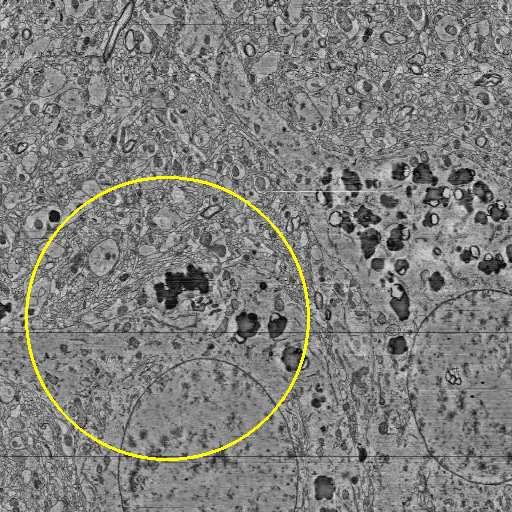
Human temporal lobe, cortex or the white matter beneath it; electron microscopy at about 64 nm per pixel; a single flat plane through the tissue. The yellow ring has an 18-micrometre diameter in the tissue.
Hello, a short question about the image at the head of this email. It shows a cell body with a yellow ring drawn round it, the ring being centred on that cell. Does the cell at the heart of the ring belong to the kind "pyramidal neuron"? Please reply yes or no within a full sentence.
No, the cell at the heart of the ring in that image is of a different kind.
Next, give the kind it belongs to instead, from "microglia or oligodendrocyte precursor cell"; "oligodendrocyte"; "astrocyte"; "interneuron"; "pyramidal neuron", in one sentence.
Instead, the picture shows an oligodendrocyte at the centre of the ring.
